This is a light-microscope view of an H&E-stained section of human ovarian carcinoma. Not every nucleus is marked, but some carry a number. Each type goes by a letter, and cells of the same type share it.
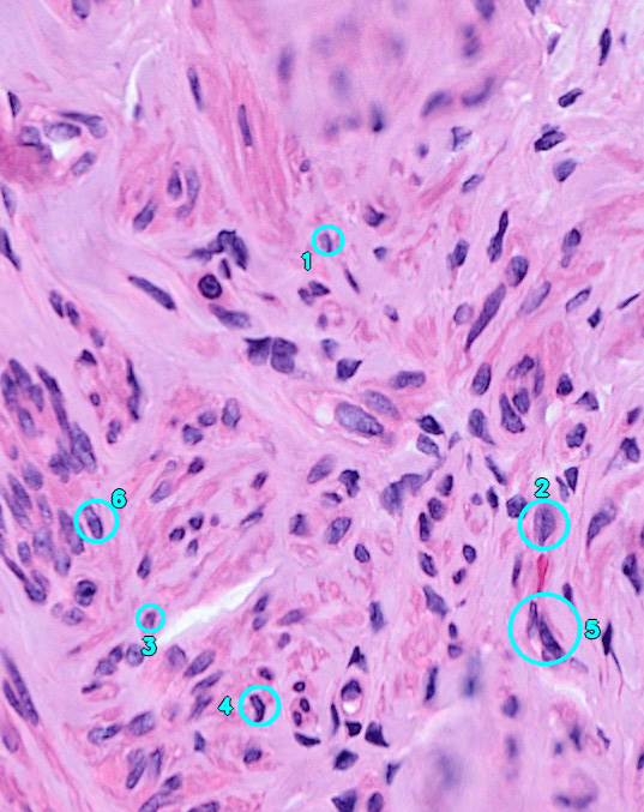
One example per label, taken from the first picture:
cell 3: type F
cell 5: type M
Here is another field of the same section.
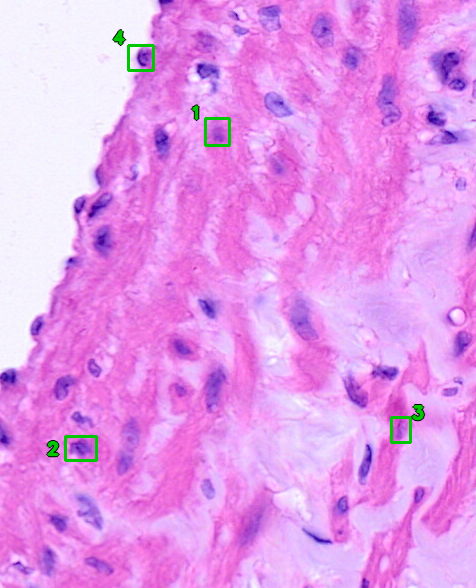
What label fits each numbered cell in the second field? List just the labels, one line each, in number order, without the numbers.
type F
type F
type F
type M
